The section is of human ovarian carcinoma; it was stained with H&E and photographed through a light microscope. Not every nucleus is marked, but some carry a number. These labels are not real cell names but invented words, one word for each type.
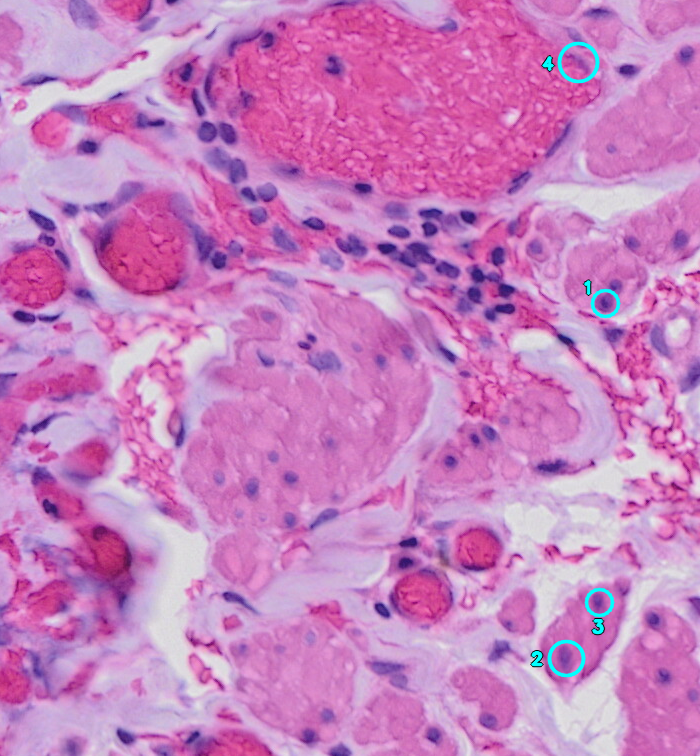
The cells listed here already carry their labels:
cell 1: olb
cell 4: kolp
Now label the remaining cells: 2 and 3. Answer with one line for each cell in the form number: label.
2: olb
3: olb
